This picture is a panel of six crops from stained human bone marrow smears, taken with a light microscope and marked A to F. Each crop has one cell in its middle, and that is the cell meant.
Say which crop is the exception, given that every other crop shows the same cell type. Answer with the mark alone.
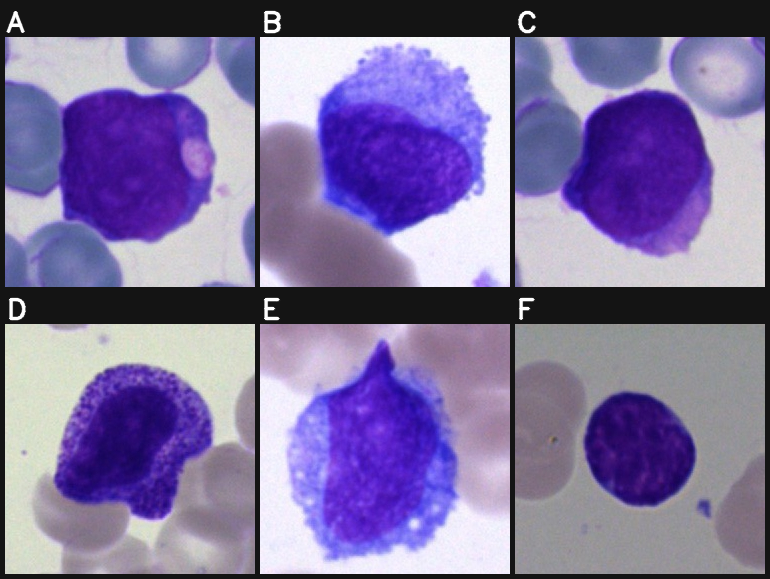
D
